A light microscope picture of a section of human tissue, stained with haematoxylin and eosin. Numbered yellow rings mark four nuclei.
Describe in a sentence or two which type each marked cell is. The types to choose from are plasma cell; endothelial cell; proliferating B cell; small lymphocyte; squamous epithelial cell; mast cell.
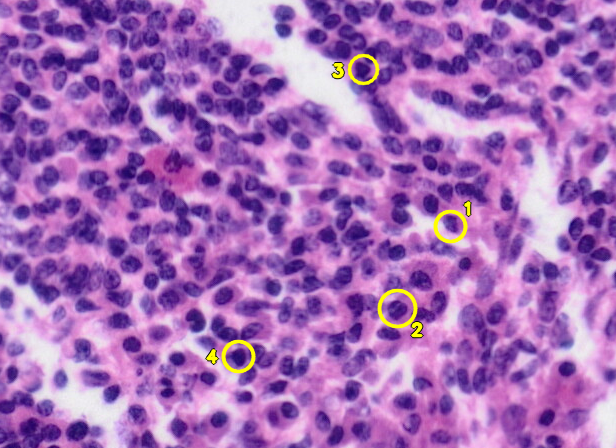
Cell 1 is a plasma cell, cell 2 is a plasma cell, cell 3 is a small lymphocyte and cell 4 is a small lymphocyte.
